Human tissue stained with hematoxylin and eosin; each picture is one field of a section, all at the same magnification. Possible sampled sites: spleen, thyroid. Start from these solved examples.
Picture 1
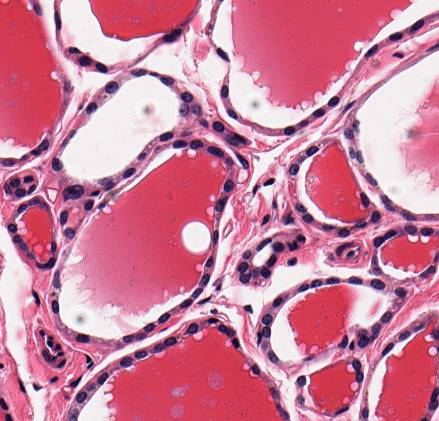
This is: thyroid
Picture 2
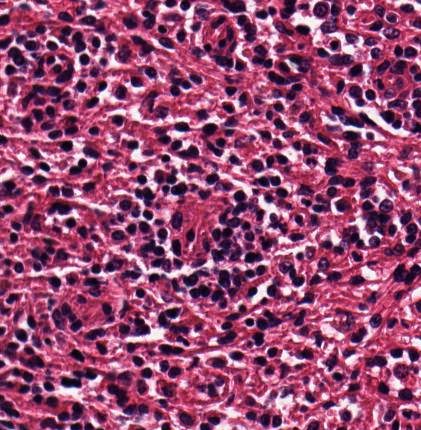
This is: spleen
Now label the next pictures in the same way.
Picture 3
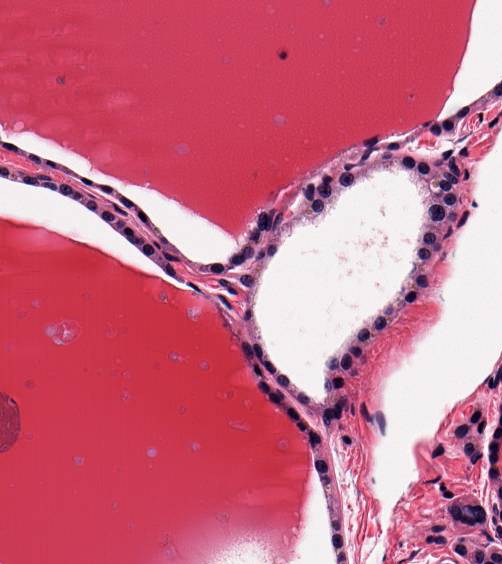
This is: thyroid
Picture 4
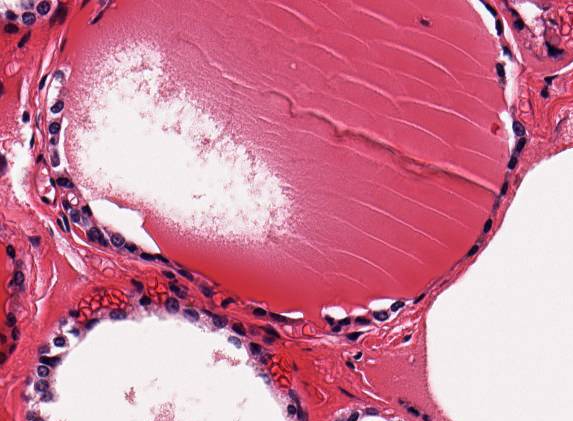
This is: thyroid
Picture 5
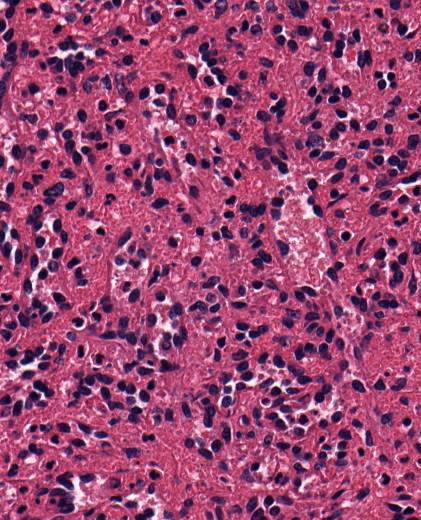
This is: spleen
